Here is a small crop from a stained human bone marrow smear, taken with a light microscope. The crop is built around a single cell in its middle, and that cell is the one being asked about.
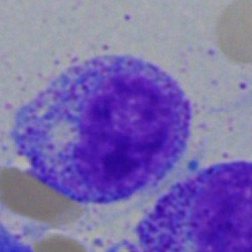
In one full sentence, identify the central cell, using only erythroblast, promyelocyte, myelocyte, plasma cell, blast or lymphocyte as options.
Classification of the middle cell gives a myelocyte.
